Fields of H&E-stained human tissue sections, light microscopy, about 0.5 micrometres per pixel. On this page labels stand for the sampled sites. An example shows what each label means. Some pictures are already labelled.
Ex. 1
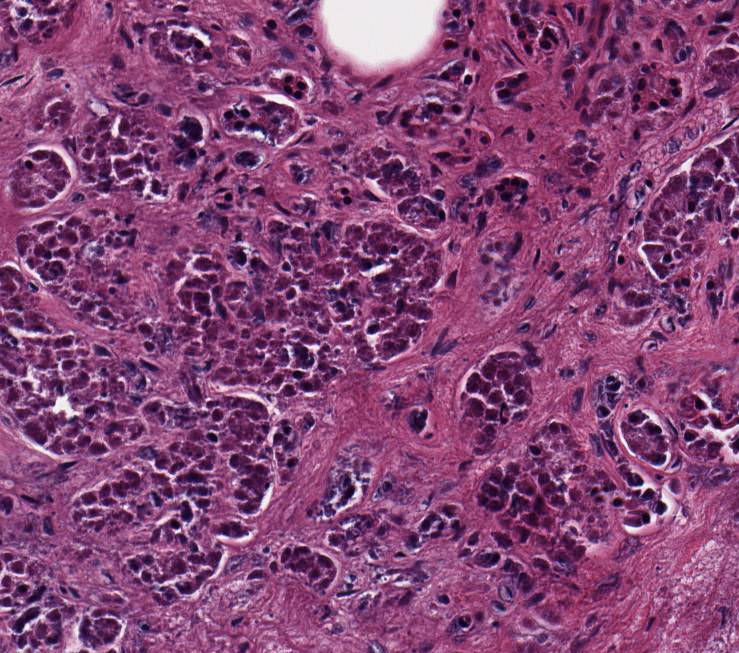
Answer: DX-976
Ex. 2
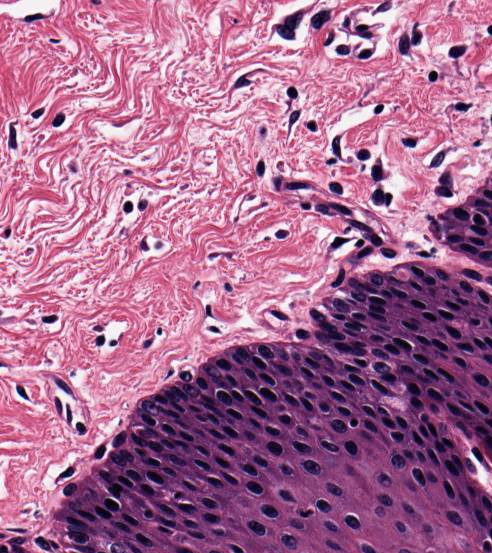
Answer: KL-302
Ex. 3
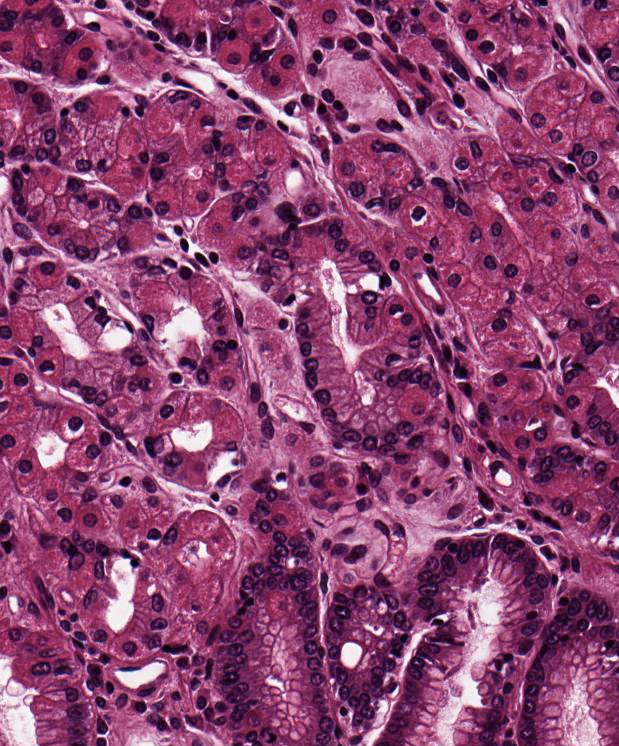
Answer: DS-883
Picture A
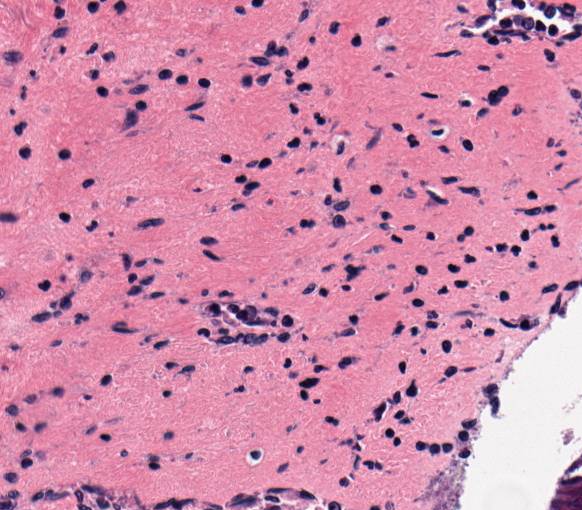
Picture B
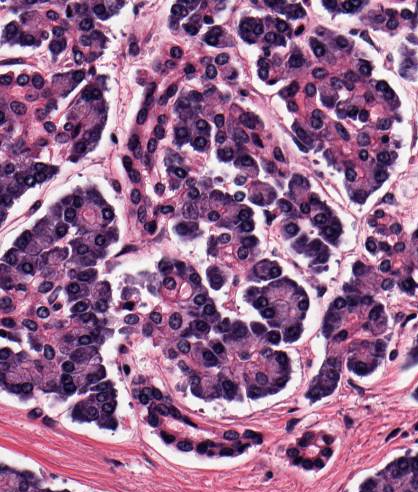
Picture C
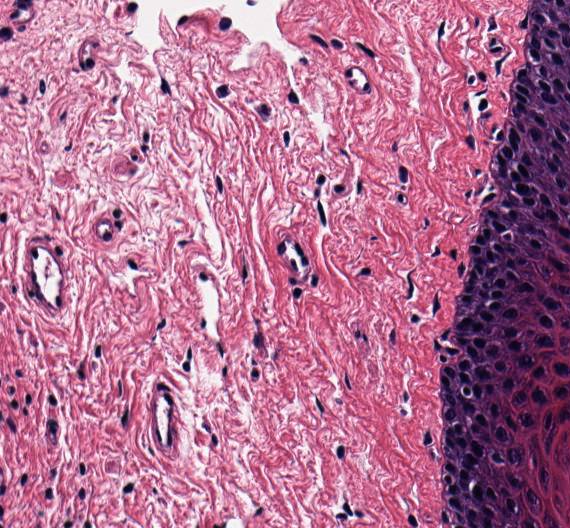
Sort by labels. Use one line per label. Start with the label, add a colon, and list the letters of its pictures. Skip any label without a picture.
DX-976: B
KL-302: A, C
